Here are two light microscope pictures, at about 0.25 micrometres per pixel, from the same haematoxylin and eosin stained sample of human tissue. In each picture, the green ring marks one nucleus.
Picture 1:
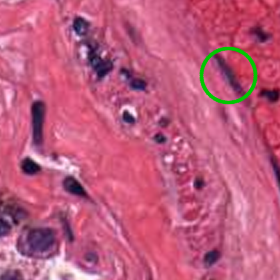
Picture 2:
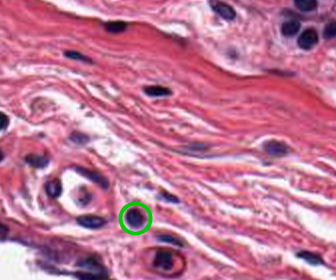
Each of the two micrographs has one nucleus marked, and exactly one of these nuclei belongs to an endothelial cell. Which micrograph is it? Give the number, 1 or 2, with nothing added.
1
